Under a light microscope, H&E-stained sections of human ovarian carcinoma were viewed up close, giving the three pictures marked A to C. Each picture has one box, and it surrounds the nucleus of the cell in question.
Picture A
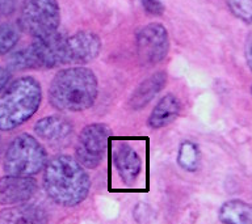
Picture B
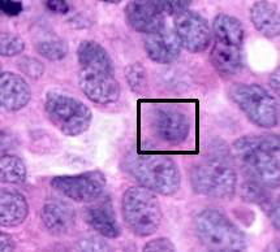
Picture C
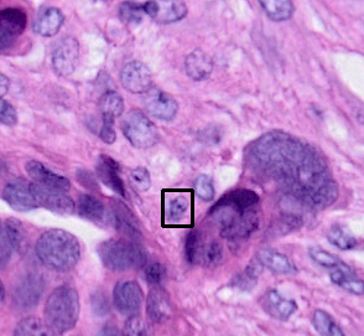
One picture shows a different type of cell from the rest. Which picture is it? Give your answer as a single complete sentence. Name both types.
Picture B is the odd one out: it shows a carcinoma cell, while the others show “macrophages or monocytes”.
